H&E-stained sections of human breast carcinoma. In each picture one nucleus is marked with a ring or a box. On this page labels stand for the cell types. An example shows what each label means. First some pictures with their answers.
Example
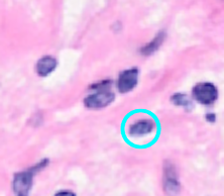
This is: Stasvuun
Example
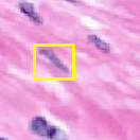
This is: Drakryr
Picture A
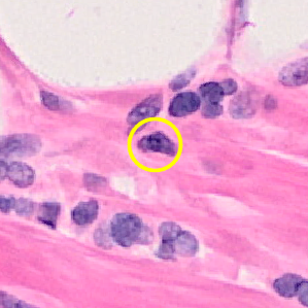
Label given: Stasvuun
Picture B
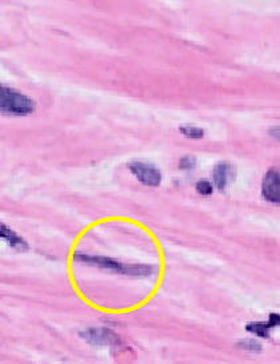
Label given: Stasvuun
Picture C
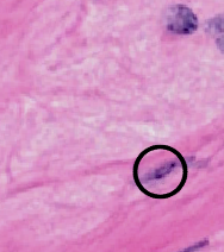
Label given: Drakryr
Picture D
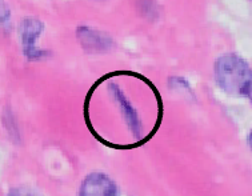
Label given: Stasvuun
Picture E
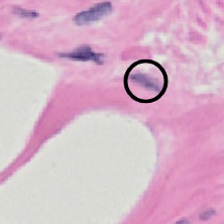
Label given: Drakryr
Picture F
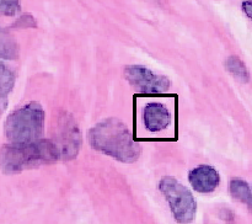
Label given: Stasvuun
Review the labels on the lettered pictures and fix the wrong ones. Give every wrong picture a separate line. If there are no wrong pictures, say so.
B: not Stasvuun but Drakryr
D: not Stasvuun but Drakryr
